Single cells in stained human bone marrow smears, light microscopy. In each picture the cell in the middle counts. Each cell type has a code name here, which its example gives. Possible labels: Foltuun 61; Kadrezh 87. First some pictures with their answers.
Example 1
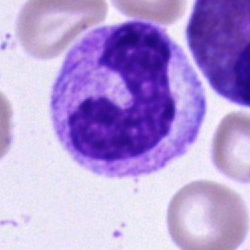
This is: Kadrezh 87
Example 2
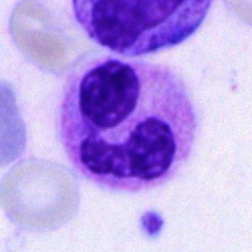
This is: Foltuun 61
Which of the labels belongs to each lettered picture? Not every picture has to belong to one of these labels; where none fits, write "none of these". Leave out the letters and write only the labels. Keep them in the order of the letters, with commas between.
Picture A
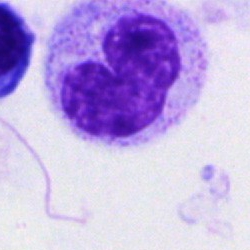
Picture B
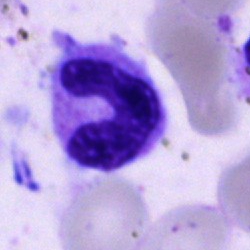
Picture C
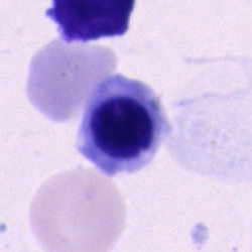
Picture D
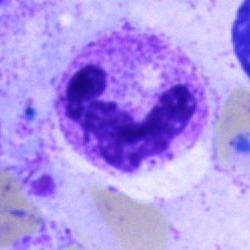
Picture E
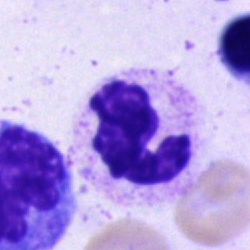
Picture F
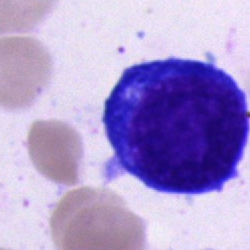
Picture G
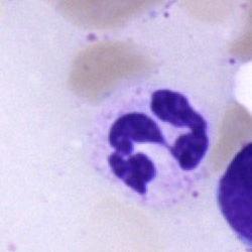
Kadrezh 87, Kadrezh 87, none of these, Foltuun 61, Foltuun 61, none of these, Foltuun 61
